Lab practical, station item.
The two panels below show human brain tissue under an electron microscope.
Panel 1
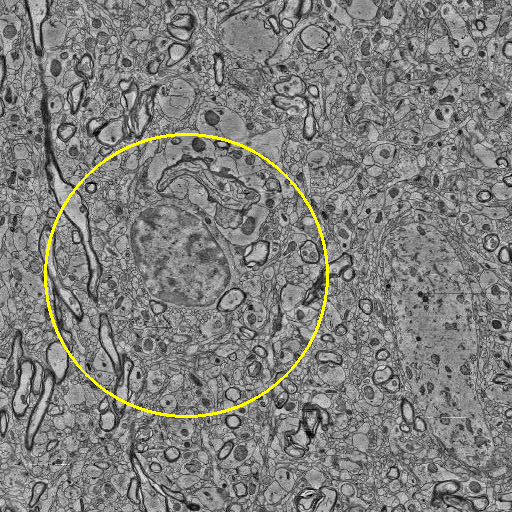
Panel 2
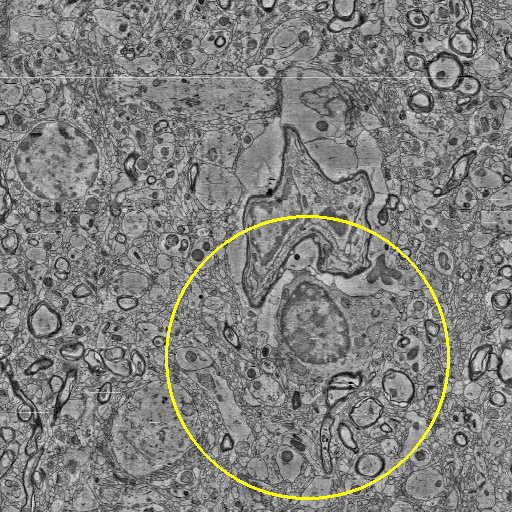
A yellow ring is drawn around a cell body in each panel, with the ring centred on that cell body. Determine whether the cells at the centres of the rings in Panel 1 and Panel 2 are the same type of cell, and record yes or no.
yes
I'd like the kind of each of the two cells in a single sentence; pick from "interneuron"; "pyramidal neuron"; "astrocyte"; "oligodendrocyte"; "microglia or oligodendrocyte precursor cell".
Both rings mark an oligodendrocyte, one in each picture.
